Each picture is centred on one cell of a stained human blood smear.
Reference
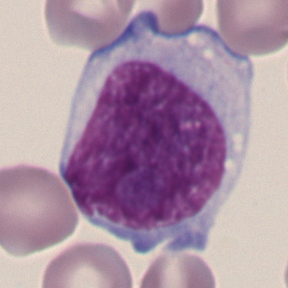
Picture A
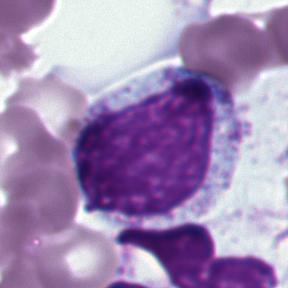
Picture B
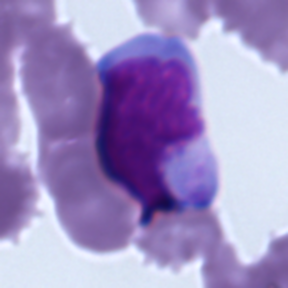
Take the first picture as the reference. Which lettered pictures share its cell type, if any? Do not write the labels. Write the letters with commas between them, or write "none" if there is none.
B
